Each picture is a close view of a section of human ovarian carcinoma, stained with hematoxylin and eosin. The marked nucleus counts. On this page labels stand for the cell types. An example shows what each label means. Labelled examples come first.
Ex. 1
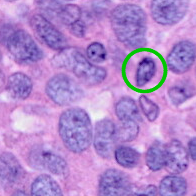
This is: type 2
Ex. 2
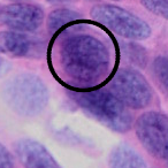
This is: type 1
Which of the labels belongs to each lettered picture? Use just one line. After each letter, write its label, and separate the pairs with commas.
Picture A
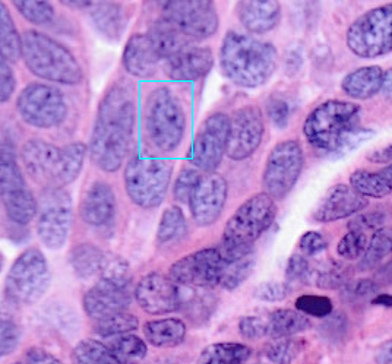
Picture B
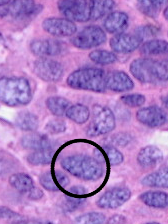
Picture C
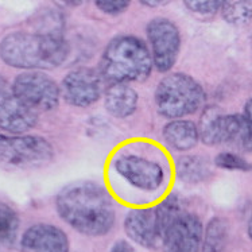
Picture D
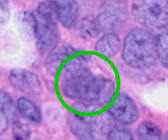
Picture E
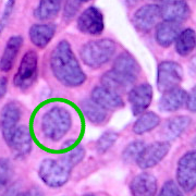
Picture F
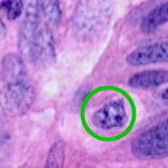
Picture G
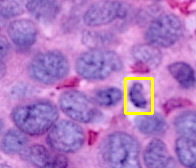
A type 1, B type 1, C type 2, D type 1, E type 1, F type 2, G type 2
